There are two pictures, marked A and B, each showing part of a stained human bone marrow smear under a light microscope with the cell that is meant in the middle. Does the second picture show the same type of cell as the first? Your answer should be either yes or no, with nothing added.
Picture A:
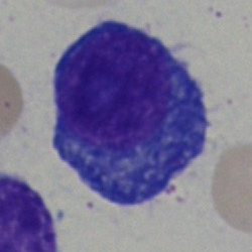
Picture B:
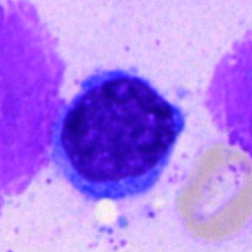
no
